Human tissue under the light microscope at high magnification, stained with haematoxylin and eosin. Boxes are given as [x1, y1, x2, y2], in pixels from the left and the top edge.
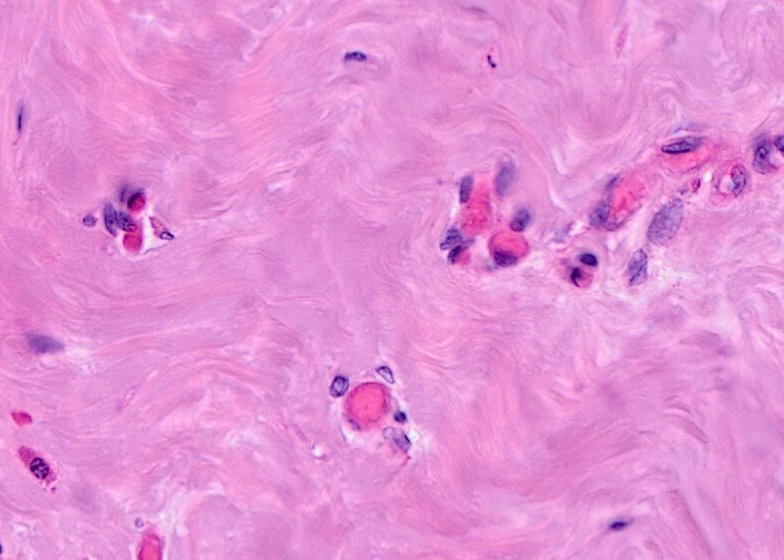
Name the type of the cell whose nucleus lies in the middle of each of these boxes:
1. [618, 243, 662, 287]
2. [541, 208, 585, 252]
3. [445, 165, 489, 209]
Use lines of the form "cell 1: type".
cell 1: fibroblast
cell 2: fibroblast
cell 3: endothelial cell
